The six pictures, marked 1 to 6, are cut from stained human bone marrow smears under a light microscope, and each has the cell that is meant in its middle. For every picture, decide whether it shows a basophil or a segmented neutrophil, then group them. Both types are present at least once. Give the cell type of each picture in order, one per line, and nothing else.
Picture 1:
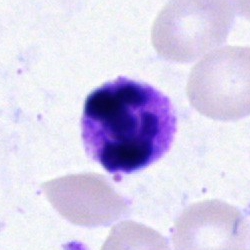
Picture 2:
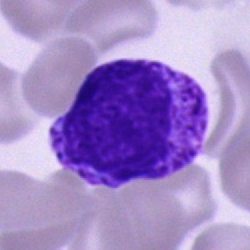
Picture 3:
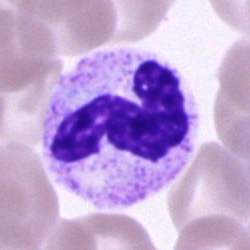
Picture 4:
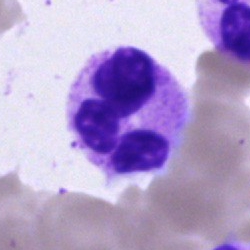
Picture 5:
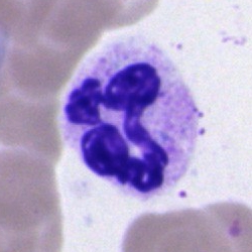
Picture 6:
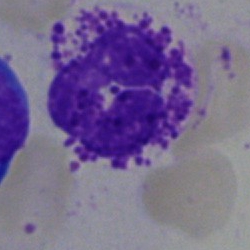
segmented neutrophil
basophil
segmented neutrophil
segmented neutrophil
segmented neutrophil
basophil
